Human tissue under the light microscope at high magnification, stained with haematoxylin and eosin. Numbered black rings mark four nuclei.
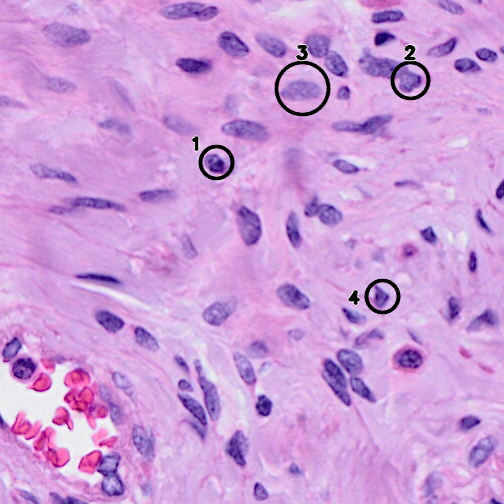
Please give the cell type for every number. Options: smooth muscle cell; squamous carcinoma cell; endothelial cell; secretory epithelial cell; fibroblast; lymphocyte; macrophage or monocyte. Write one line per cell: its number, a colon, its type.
1: lymphocyte
2: fibroblast
3: fibroblast
4: fibroblast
